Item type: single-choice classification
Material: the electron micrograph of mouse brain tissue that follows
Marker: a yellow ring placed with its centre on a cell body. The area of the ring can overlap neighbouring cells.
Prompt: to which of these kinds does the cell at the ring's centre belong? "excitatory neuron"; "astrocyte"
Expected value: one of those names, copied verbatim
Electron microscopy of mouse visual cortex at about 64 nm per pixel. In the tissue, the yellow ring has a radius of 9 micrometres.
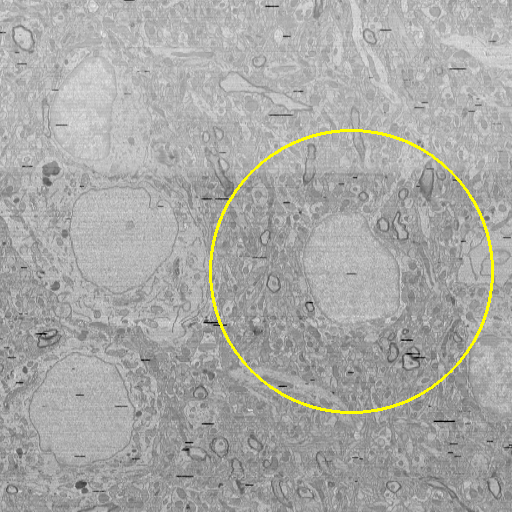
astrocyte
